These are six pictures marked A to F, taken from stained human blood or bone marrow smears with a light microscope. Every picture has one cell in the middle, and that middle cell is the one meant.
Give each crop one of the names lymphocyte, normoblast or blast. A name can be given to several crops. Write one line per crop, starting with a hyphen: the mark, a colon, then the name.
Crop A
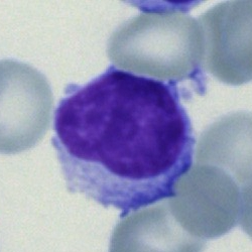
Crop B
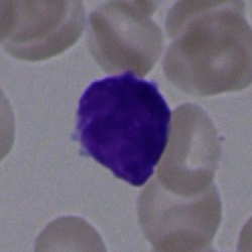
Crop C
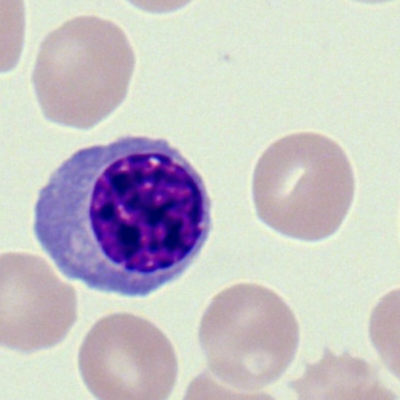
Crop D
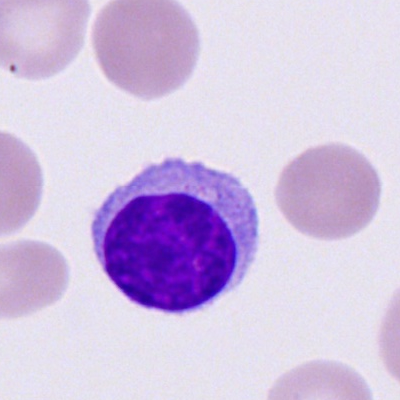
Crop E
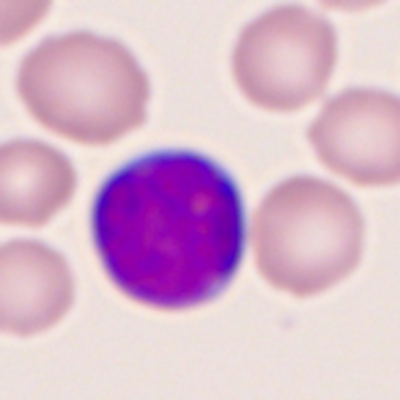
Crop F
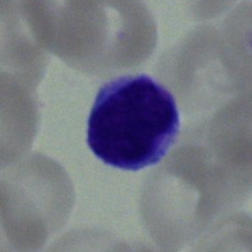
- A: lymphocyte
- B: lymphocyte
- C: normoblast
- D: lymphocyte
- E: blast
- F: lymphocyte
